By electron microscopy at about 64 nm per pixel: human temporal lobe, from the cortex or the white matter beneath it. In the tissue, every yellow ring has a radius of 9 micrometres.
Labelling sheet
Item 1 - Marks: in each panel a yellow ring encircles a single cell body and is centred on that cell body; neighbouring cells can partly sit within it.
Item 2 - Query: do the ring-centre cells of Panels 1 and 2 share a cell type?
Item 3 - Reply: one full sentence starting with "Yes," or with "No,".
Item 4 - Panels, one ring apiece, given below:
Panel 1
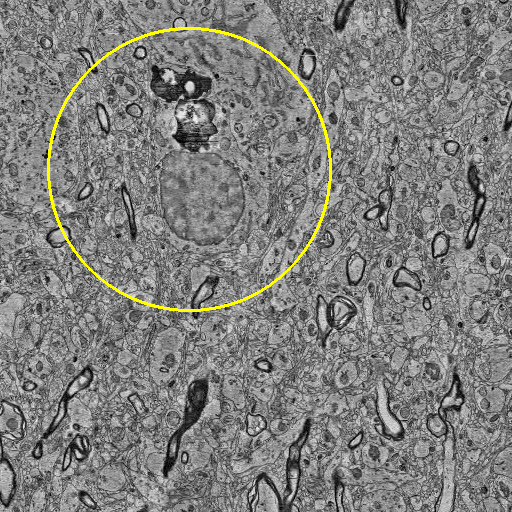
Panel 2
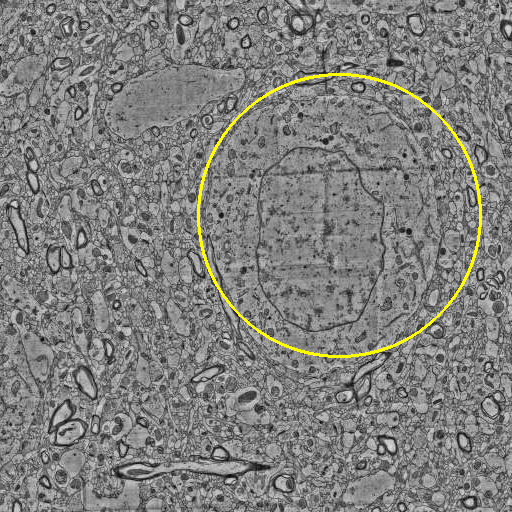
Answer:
No, Panel 1 and Panel 2 show two cell types at the centres of their rings.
